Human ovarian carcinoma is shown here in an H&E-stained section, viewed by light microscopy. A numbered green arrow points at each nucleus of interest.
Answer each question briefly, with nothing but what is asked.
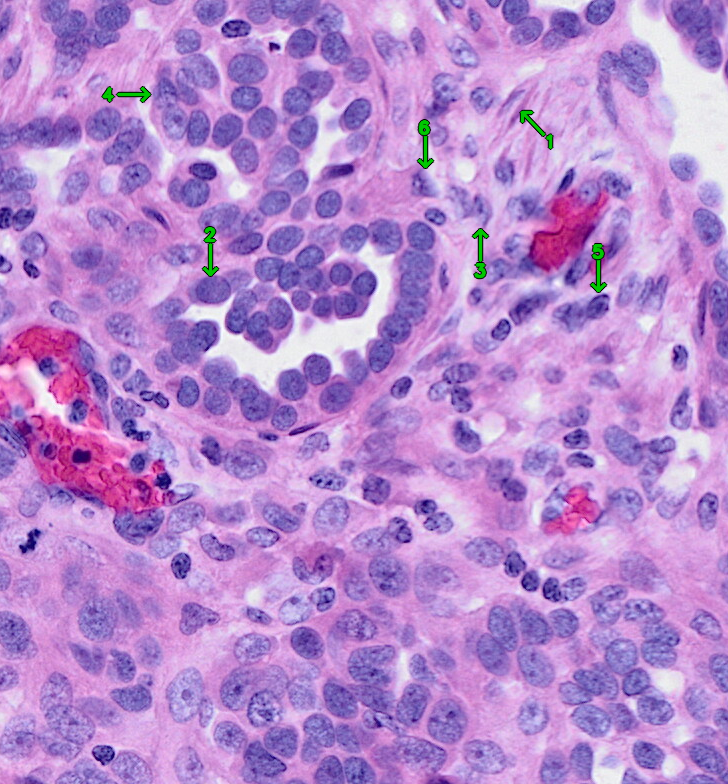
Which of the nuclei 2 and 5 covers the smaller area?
5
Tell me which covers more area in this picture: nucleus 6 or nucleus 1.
6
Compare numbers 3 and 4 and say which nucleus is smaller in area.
3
